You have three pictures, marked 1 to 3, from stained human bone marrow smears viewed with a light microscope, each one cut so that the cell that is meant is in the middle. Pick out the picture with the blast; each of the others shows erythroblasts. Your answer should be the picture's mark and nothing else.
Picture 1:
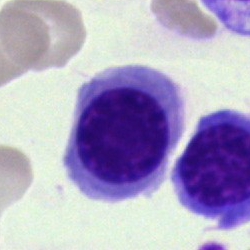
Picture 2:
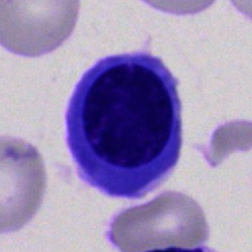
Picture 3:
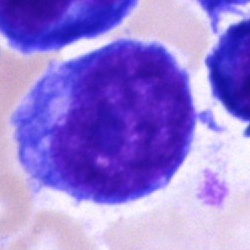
3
